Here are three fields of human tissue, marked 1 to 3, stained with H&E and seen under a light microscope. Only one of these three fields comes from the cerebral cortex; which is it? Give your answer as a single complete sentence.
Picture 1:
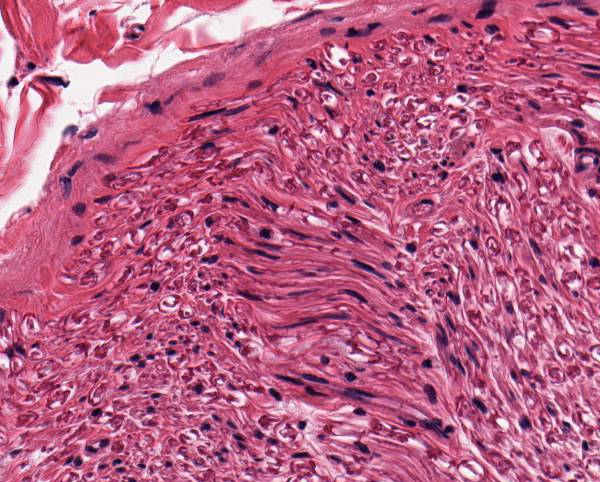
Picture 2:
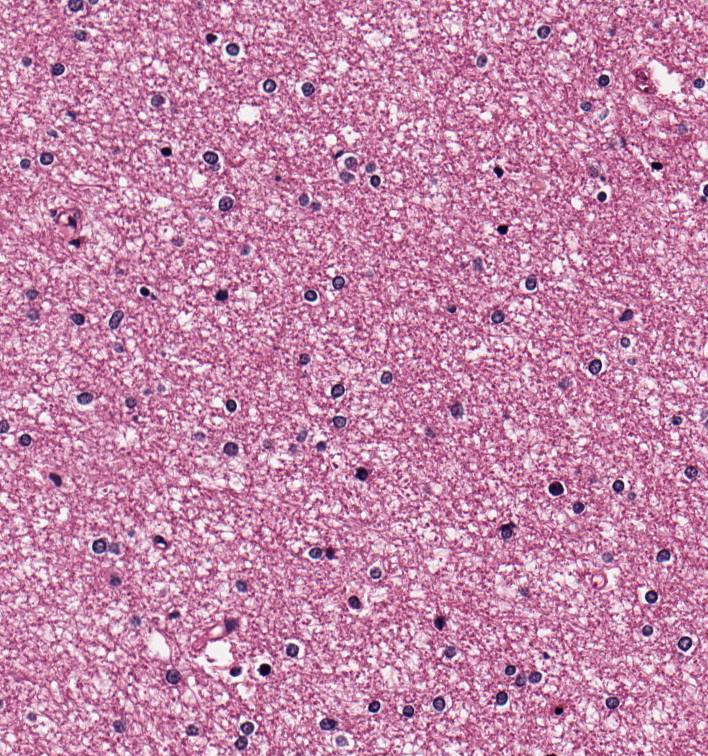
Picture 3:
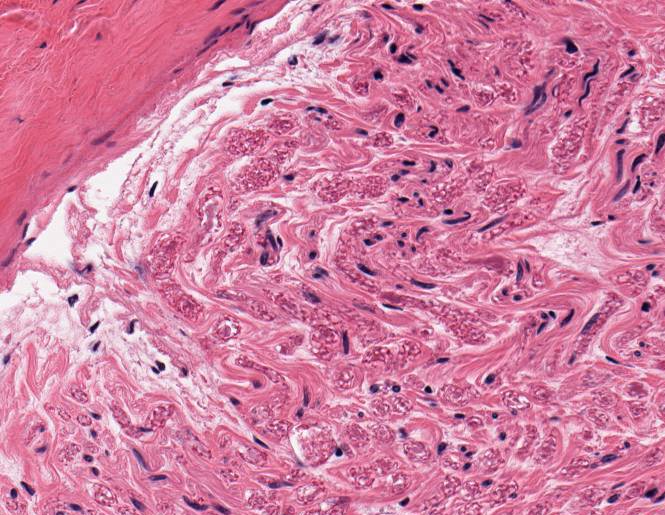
It is picture 2 that comes from the cerebral cortex.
